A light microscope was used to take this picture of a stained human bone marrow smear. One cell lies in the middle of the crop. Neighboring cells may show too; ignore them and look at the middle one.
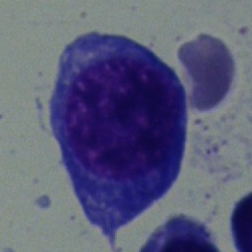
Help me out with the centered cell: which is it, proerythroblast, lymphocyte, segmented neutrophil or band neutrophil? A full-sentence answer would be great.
The crop centres on a single cell, and that cell is a proerythroblast.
